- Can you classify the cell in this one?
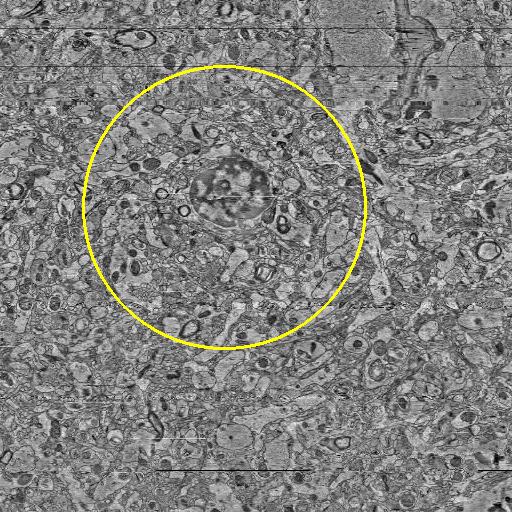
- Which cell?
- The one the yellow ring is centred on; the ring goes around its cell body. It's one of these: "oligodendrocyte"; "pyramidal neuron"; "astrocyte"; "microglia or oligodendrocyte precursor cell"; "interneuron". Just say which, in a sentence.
The cell body in the ring belongs to a microglial cell or oligodendrocyte precursor cell.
